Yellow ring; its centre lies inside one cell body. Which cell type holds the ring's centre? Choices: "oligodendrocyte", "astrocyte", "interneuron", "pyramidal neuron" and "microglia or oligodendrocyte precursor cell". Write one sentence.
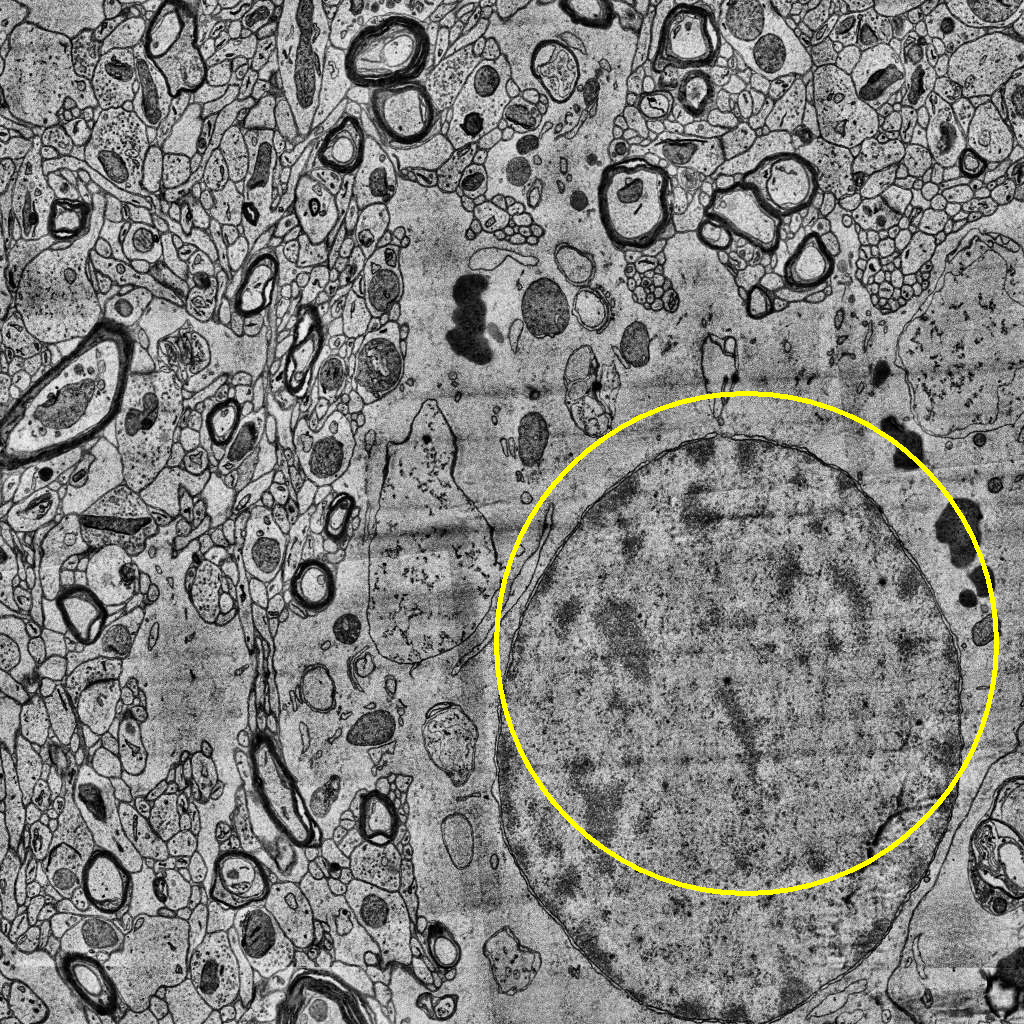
At the centre of the ring sits an astrocyte.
